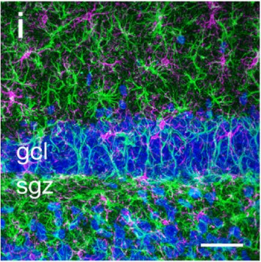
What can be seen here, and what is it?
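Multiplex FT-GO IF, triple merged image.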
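Green processes run roughly parallel and perpendicular through the blue band, rising from its lower border toward the region above. Above the band, green star-shaped cells with radiating processes and magenta cells with small bodies and thin, branched processes are scattered. Below the band, loosely arranged larger blue nuclei lie among dense green fibres and magenta cells.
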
